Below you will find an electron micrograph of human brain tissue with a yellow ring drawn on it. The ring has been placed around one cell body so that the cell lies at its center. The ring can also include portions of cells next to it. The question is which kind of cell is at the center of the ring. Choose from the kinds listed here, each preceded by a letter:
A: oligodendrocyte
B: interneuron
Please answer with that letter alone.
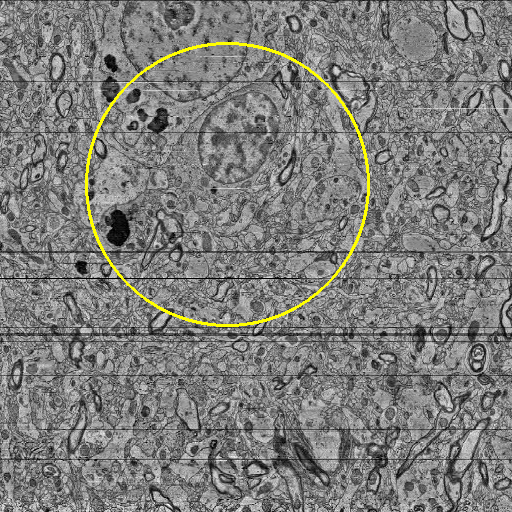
A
